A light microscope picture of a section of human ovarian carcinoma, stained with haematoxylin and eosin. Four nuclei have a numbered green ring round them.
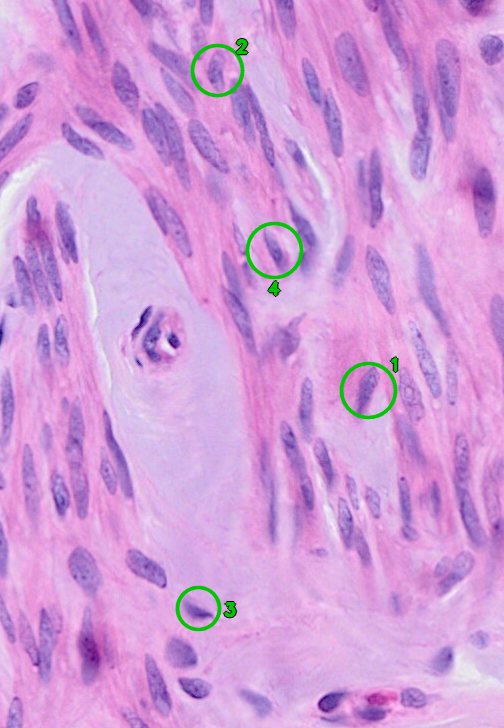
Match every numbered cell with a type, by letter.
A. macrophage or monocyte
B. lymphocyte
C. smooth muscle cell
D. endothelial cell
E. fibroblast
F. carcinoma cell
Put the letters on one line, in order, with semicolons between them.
C; C; E; C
